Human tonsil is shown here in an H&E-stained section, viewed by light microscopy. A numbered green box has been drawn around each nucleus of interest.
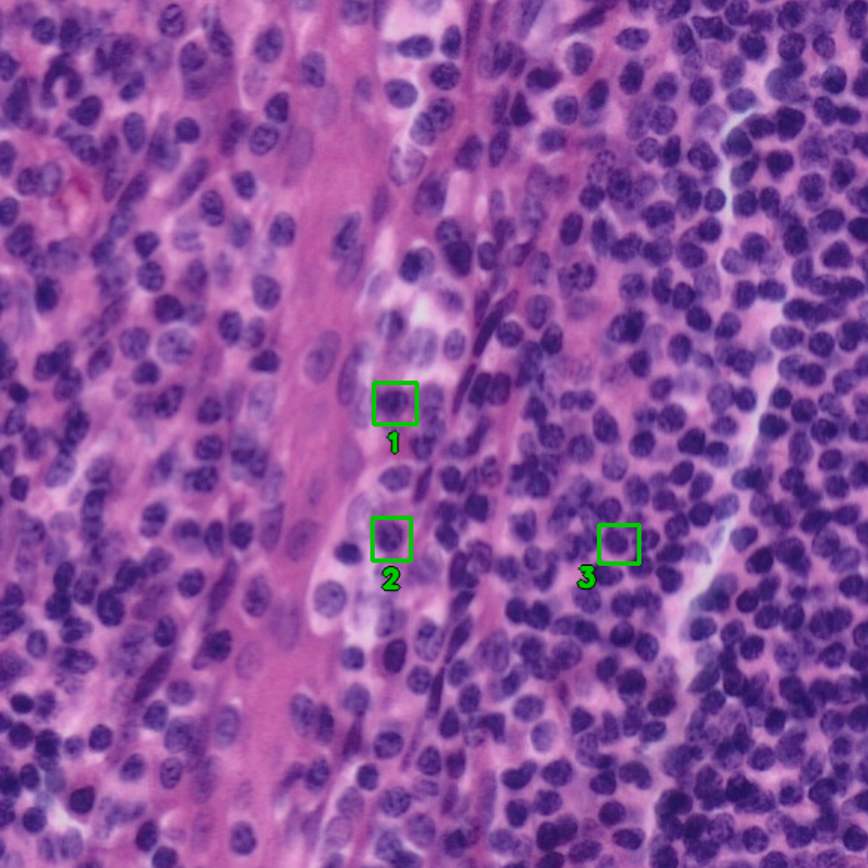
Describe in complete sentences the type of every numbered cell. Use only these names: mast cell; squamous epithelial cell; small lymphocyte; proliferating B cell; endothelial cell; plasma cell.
Cell 1 is a plasma cell, cell 2 is a plasma cell and cell 3 is a small lymphocyte.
